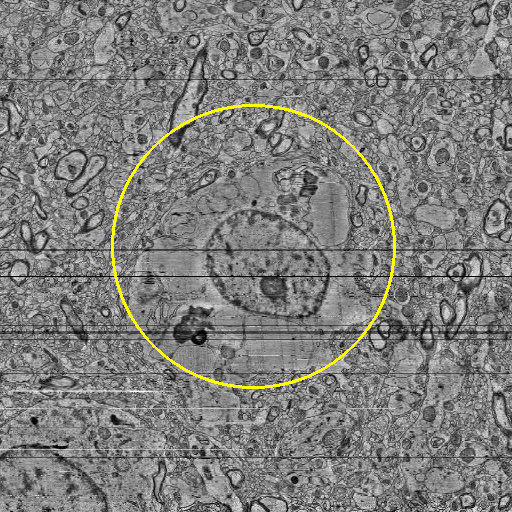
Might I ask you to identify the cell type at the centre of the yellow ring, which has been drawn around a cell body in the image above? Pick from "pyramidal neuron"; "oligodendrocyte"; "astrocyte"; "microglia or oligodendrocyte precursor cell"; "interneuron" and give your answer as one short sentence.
The centre of the ring falls on an astrocyte.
